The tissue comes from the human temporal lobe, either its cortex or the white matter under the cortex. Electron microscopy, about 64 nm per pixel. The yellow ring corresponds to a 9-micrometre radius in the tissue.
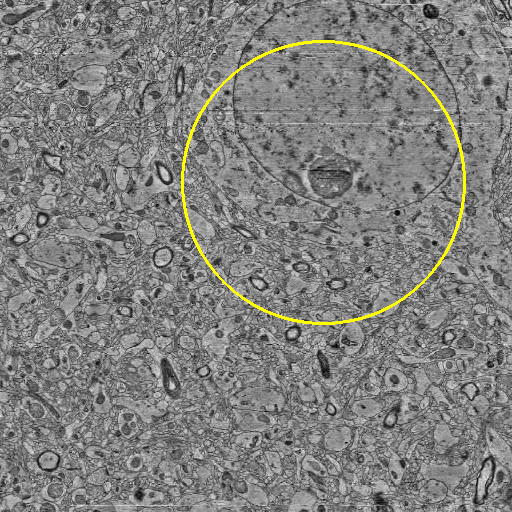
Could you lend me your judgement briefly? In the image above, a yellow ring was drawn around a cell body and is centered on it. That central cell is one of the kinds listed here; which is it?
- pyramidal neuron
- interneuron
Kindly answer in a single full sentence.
Going by the list, a pyramidal neuron is the kind at the ring's center in the picture.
